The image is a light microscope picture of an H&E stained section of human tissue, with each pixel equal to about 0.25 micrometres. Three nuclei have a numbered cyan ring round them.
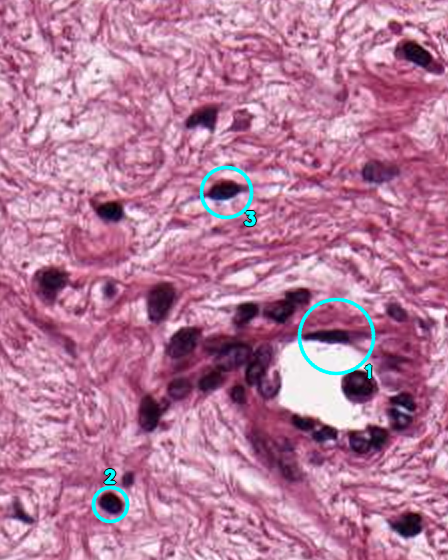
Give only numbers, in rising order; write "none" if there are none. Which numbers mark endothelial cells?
1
